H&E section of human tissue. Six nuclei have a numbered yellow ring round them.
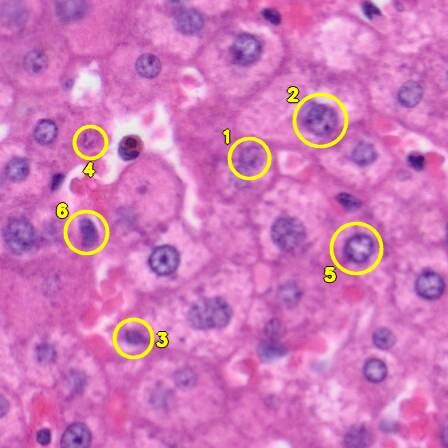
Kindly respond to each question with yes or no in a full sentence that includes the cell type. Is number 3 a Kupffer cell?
Yes, that one, number 3, is a Kupffer cell.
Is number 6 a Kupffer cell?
Yes, the cell given number 6 is a Kupffer cell.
